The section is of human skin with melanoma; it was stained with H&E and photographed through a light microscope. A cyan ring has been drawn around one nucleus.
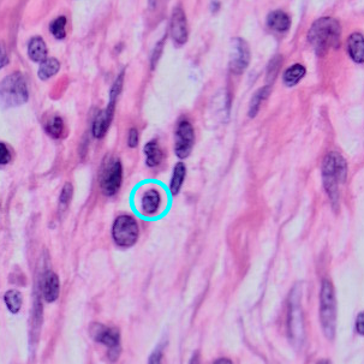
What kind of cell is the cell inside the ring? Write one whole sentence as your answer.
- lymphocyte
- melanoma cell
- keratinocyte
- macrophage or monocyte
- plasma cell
In cell-type terms, the cell inside the ring is a plasma cell.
